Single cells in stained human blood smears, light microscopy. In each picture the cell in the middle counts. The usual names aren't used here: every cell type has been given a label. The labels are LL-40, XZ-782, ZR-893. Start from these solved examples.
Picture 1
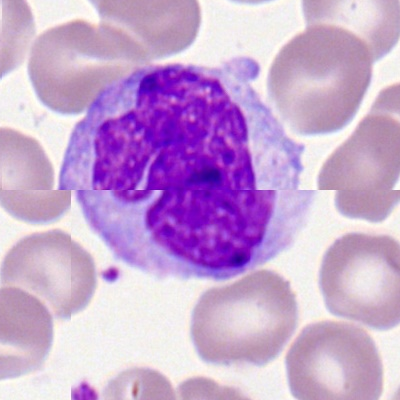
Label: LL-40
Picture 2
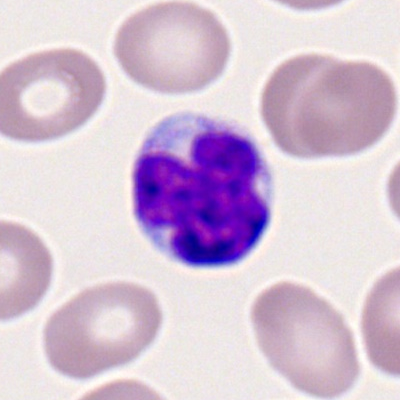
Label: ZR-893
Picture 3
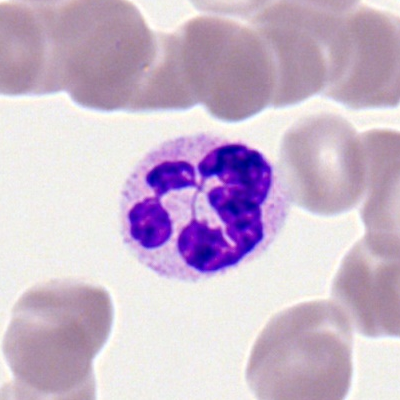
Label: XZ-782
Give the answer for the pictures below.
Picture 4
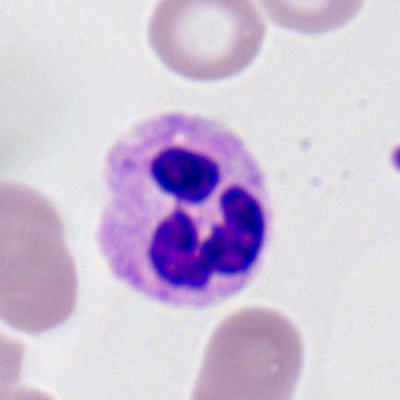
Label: XZ-782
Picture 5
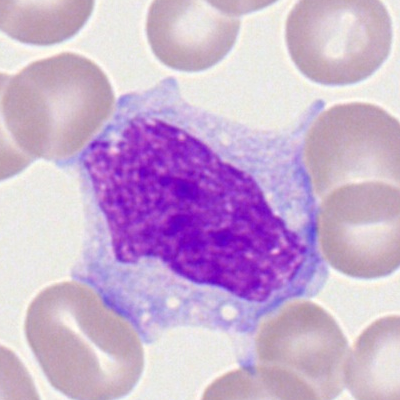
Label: LL-40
